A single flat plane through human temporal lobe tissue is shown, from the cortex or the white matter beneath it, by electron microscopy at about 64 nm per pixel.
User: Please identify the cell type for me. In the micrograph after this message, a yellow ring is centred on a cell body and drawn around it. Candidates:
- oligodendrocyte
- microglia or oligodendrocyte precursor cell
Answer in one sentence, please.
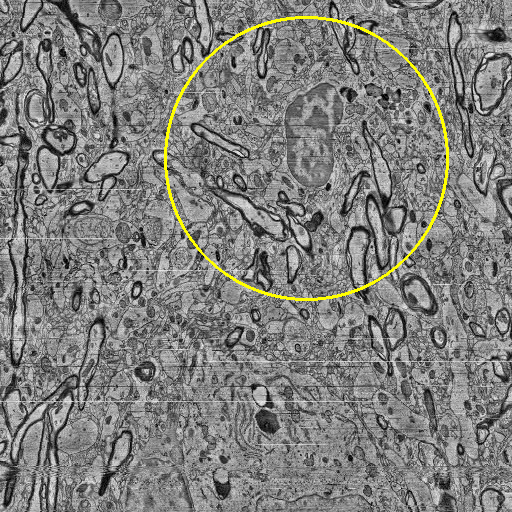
The ring is drawn around the cell body of a microglial cell or oligodendrocyte precursor cell.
